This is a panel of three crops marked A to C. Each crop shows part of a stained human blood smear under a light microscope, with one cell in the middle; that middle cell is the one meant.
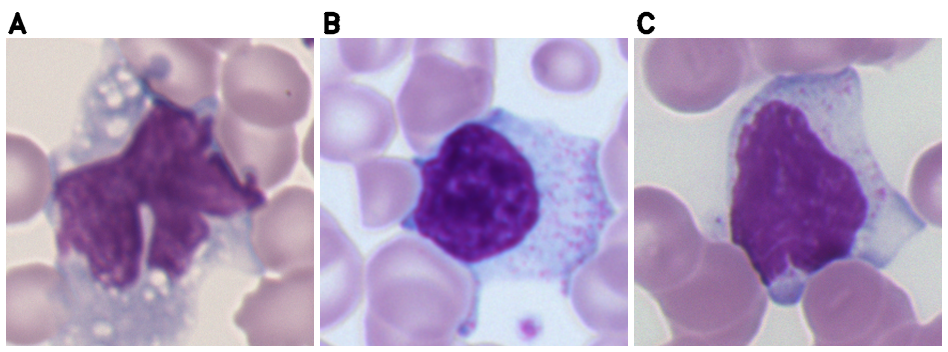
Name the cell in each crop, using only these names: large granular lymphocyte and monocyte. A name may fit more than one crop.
A: monocyte
B: large granular lymphocyte
C: large granular lymphocyte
